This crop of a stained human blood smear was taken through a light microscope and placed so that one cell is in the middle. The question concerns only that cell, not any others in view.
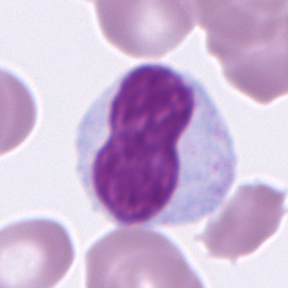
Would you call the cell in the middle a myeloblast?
no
